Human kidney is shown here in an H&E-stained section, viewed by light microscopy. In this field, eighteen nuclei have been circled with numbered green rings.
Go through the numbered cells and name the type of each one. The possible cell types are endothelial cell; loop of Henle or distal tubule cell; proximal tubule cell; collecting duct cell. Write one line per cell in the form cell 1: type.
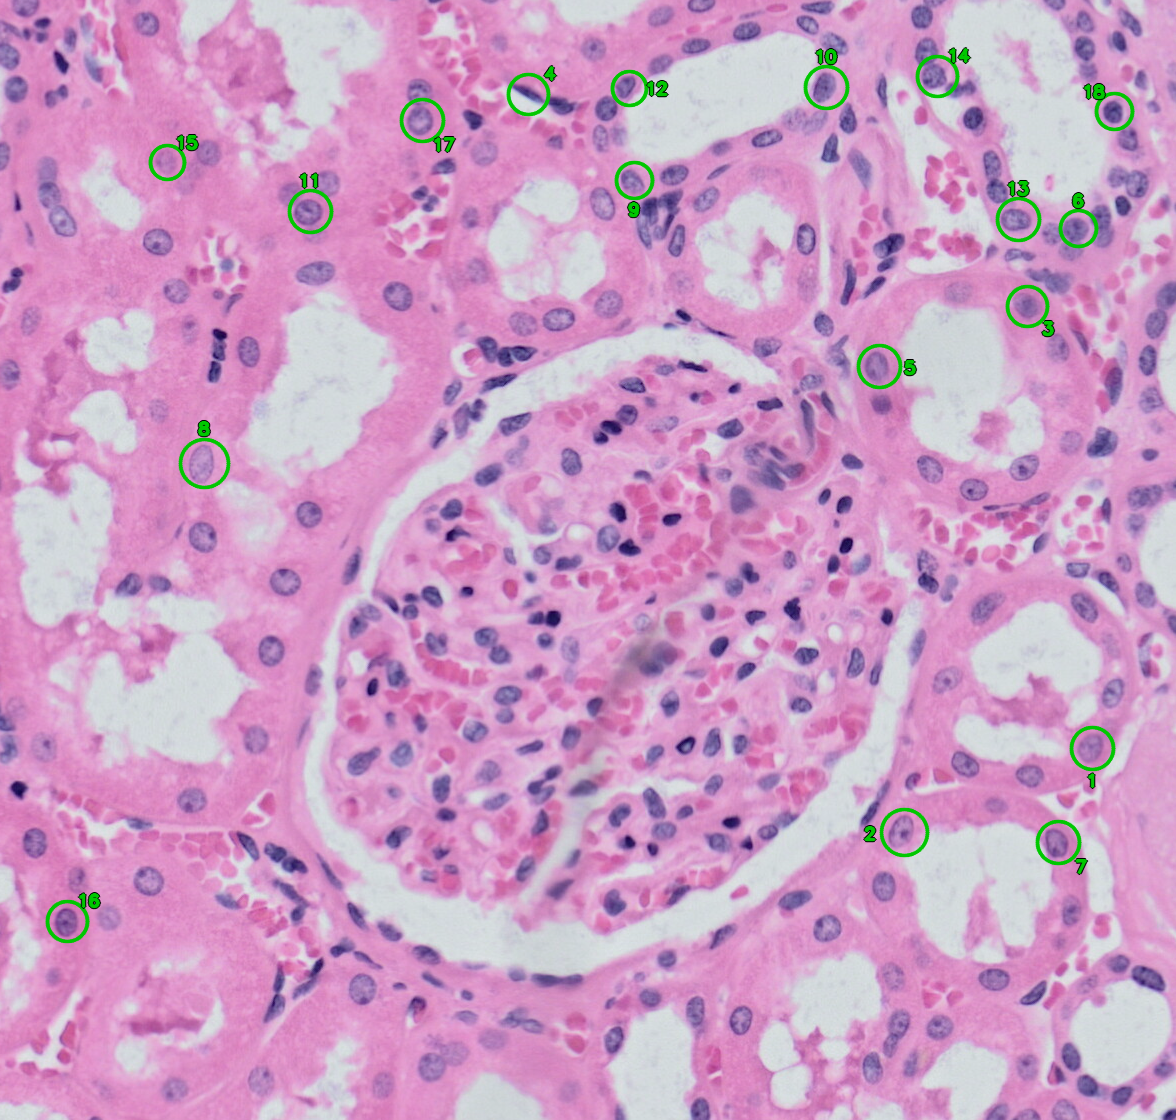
cell 1: proximal tubule cell
cell 2: proximal tubule cell
cell 3: proximal tubule cell
cell 4: endothelial cell
cell 5: proximal tubule cell
cell 6: collecting duct cell
cell 7: proximal tubule cell
cell 8: proximal tubule cell
cell 9: collecting duct cell
cell 10: collecting duct cell
cell 11: proximal tubule cell
cell 12: collecting duct cell
cell 13: collecting duct cell
cell 14: collecting duct cell
cell 15: proximal tubule cell
cell 16: proximal tubule cell
cell 17: proximal tubule cell
cell 18: collecting duct cell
